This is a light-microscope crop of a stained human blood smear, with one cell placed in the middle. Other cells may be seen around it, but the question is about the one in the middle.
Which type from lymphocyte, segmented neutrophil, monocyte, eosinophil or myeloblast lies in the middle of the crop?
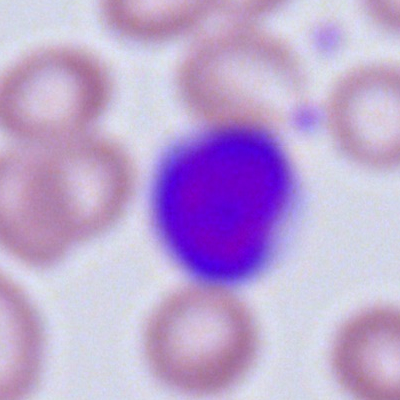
lymphocyte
